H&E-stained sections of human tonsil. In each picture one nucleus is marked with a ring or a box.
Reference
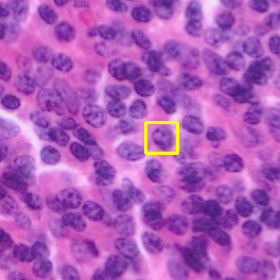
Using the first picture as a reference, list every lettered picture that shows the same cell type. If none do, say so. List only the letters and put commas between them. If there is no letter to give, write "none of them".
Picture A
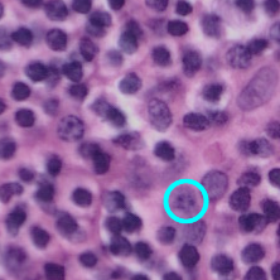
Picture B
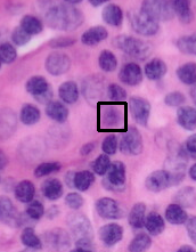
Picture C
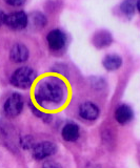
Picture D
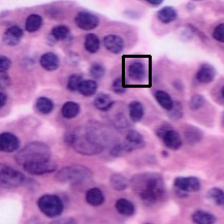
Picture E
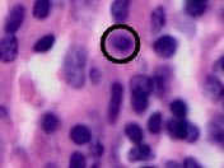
C, D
